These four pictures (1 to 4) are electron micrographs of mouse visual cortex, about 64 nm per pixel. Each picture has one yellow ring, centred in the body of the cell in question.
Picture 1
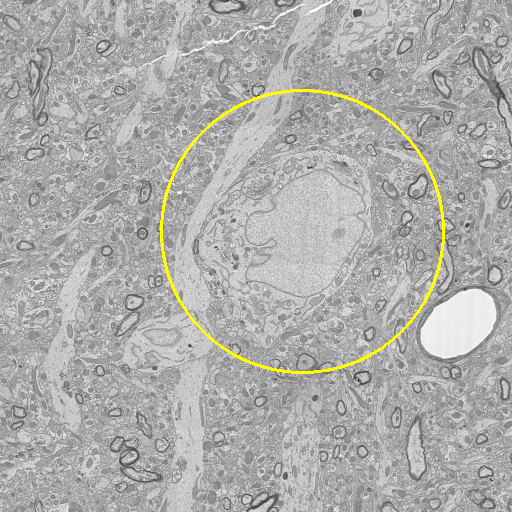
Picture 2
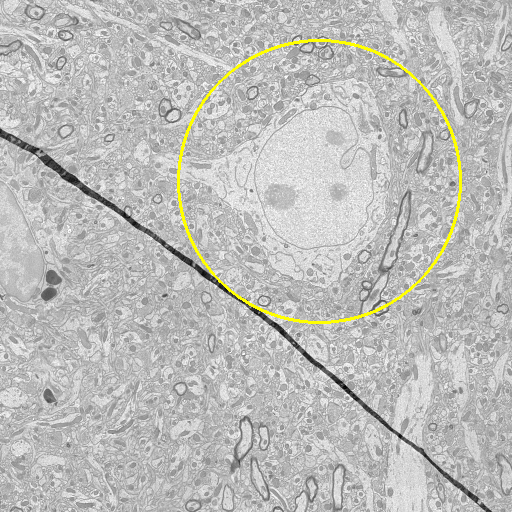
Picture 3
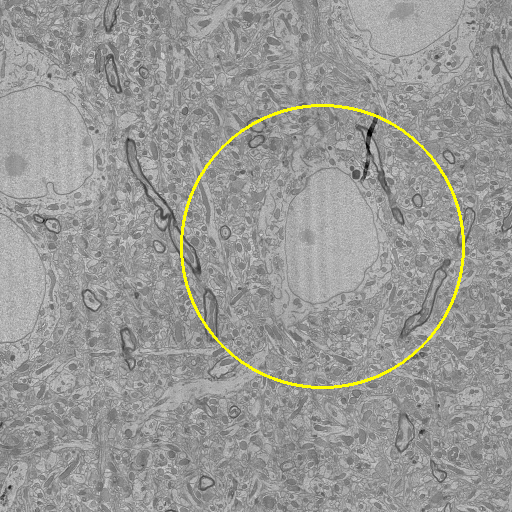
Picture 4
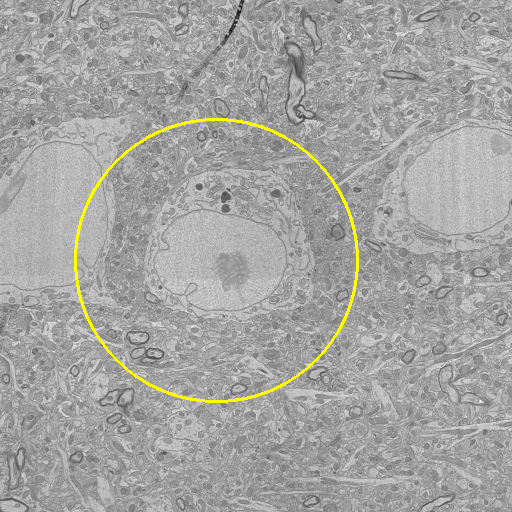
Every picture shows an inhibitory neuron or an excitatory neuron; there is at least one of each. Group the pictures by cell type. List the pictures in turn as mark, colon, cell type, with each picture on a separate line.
1: inhibitory neuron
2: excitatory neuron
3: excitatory neuron
4: inhibitory neuron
